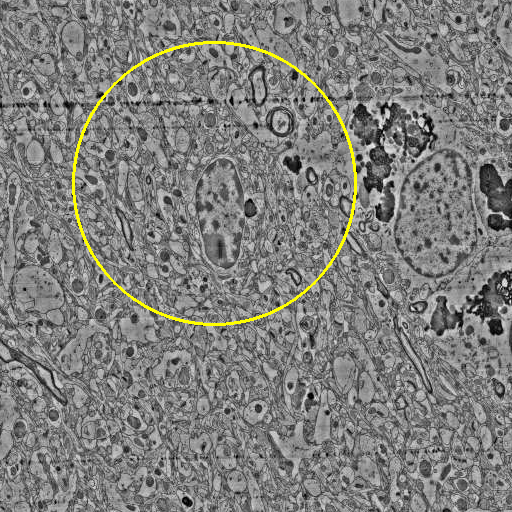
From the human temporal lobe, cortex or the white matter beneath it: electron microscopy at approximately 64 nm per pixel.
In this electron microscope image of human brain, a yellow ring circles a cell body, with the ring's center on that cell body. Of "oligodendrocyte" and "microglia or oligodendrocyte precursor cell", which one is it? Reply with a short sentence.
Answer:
It is a microglial cell or oligodendrocyte precursor cell at the center of the ring.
